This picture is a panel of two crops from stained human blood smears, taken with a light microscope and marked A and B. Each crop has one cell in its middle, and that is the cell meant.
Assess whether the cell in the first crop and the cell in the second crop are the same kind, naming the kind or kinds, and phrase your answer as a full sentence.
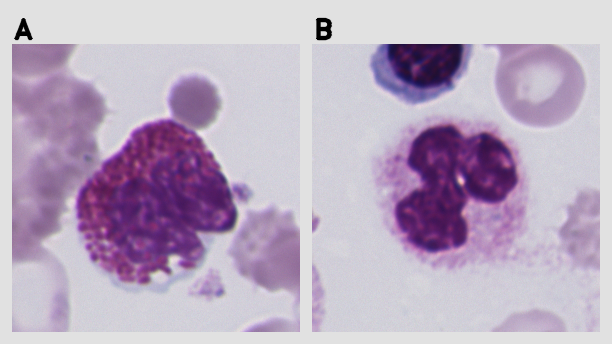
No, crop A presents an eosinophil; crop B presents a segmented neutrophil.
